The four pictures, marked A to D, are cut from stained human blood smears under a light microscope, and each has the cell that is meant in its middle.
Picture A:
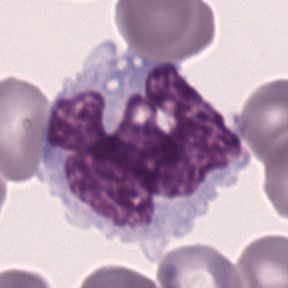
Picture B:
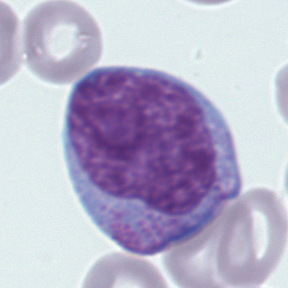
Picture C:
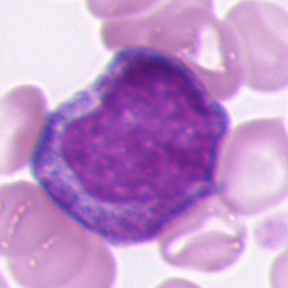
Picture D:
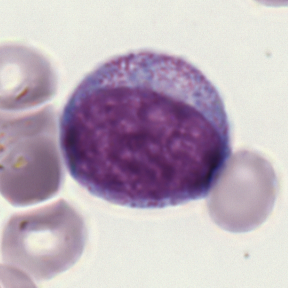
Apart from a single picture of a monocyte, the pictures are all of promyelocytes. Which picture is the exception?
A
